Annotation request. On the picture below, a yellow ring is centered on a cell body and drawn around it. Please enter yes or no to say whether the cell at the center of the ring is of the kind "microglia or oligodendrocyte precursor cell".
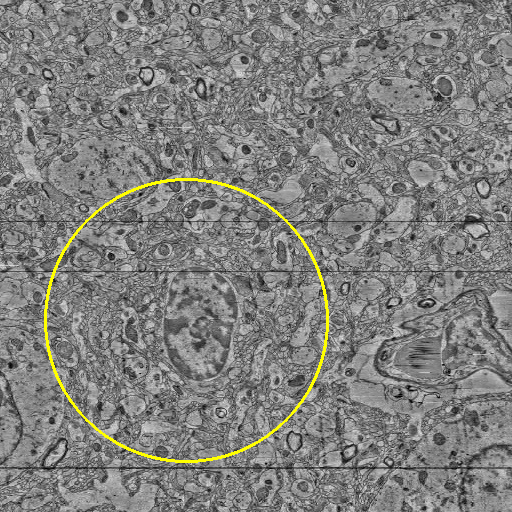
yes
